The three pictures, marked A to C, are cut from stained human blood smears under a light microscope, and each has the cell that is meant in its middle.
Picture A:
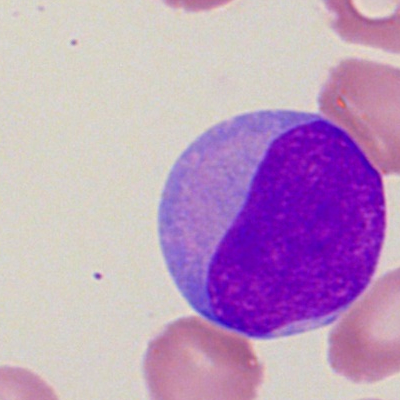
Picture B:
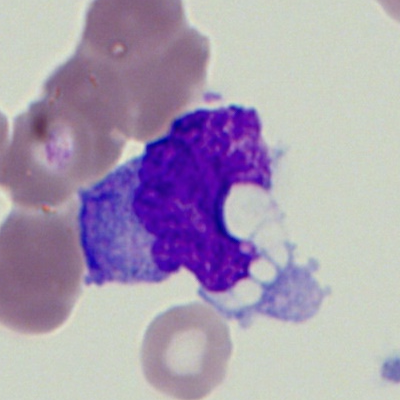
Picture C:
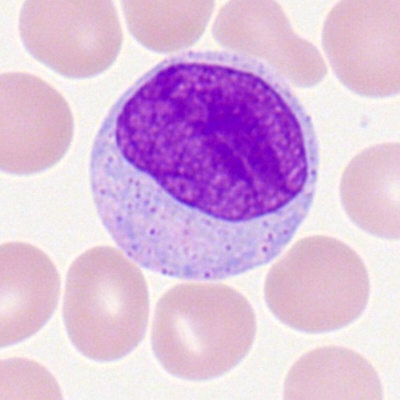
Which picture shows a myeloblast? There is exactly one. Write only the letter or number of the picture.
A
